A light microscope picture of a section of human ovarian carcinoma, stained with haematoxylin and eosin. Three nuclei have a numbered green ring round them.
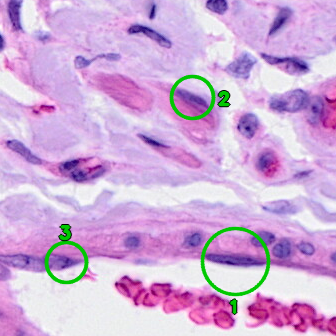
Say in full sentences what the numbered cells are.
Cell 1 is an endothelial cell, cell 2 is a smooth muscle cell and cell 3 is an endothelial cell.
